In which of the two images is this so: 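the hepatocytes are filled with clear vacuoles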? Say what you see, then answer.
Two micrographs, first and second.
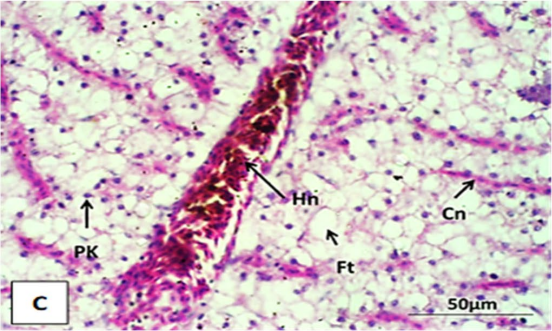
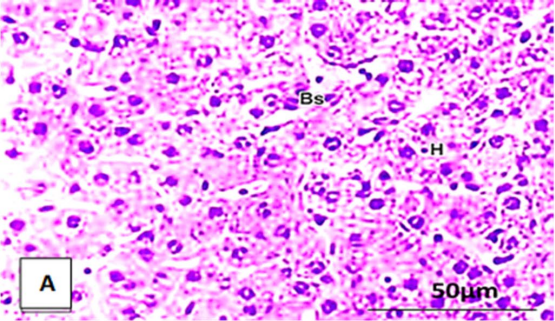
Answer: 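First image: most hepatocytes have pale, empty-looking, vacuolated cytoplasm. Second image: hepatocytes have dense, evenly pink granular cytoplasm without clear vacuoles.
Conclusion: the first image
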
